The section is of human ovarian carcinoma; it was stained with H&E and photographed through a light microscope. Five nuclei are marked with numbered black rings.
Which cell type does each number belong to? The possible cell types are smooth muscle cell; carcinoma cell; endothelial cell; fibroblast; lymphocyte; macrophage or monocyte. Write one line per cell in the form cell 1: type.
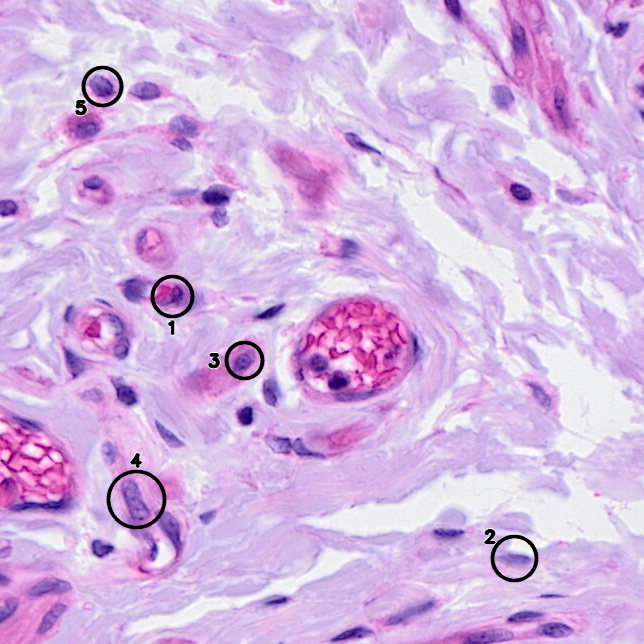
cell 1: endothelial cell
cell 2: fibroblast
cell 3: smooth muscle cell
cell 4: endothelial cell
cell 5: macrophage or monocyte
